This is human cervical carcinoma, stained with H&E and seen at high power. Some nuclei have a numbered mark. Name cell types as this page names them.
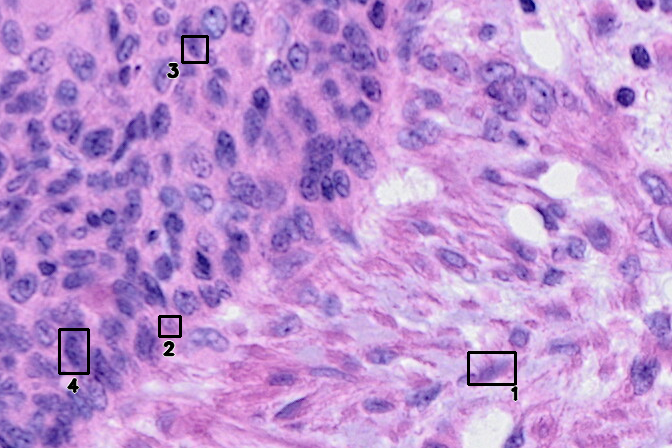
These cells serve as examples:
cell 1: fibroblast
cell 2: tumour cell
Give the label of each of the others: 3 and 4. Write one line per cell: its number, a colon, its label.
3: tumour cell
4: tumour cell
